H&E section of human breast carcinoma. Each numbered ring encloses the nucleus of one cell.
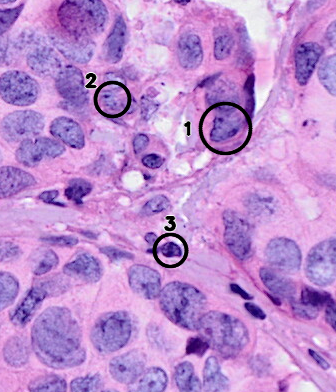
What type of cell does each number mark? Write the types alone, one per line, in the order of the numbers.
carcinoma cell
endothelial cell
lymphocyte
